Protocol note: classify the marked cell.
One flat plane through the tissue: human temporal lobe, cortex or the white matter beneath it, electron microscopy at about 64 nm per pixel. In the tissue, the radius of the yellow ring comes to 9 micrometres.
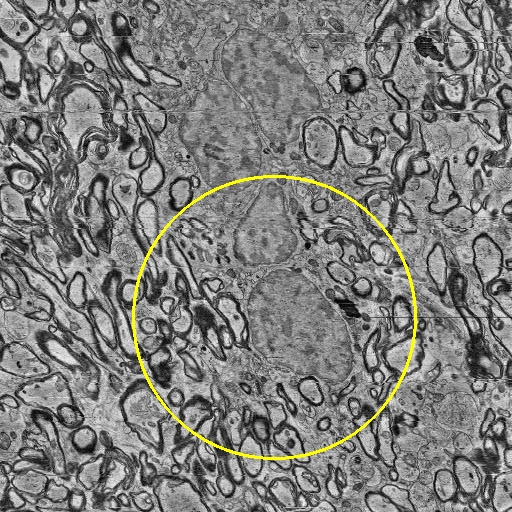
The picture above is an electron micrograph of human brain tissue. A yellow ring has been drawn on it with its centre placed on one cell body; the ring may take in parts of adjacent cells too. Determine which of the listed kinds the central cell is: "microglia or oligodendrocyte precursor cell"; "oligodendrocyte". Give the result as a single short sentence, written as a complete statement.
The central cell is an oligodendrocyte.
